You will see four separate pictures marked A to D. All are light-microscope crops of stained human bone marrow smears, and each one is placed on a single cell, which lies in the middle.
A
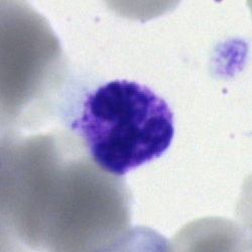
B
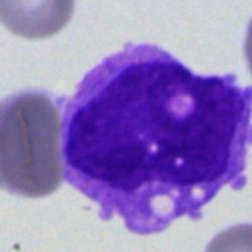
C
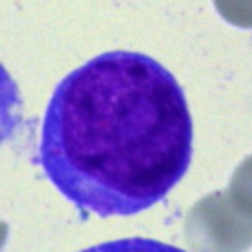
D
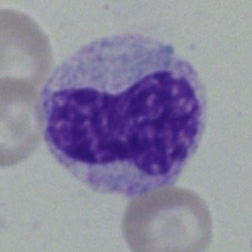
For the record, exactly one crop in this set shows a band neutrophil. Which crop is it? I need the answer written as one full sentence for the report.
The crop marked D is the one that shows a band neutrophil.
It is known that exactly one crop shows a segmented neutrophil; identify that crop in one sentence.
Of these crops, it is crop A that shows a segmented neutrophil.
